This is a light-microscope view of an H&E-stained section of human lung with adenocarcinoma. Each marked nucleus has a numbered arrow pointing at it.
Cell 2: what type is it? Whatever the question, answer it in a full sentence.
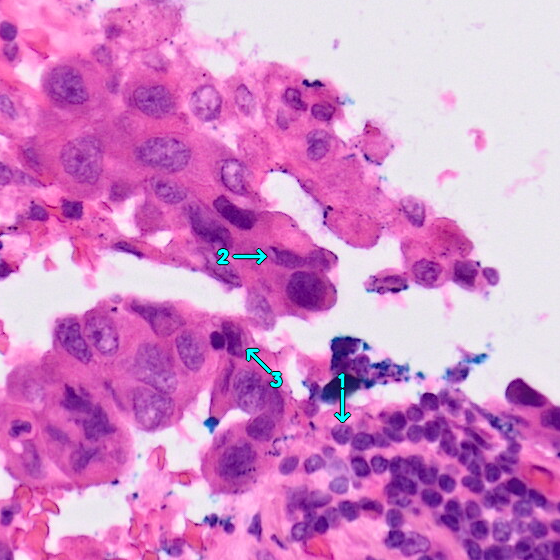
Among the marked nuclei, number 2 belongs to a carcinoma cell.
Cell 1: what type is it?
Corresponding to a lymphocyte is the cell labelled 1.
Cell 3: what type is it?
The cell with the number 3 is a carcinoma cell.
